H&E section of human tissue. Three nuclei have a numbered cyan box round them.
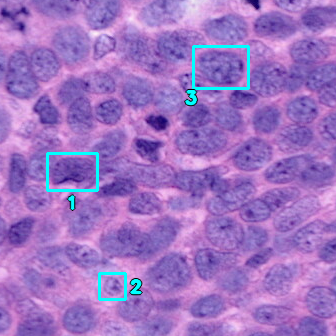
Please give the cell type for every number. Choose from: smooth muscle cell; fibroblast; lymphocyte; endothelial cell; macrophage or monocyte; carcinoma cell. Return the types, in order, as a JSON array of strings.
["carcinoma cell", "macrophage or monocyte", "carcinoma cell"]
